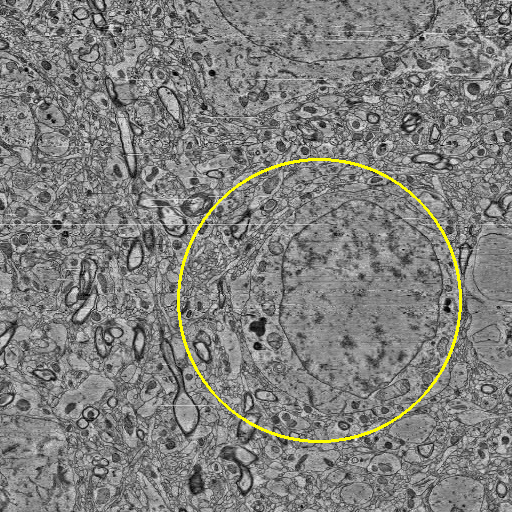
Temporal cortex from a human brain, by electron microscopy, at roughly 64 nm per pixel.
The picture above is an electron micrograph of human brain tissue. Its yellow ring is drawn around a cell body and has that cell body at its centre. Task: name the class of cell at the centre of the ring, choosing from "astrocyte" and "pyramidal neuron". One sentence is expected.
The ring surrounds the body of a pyramidal neuron.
